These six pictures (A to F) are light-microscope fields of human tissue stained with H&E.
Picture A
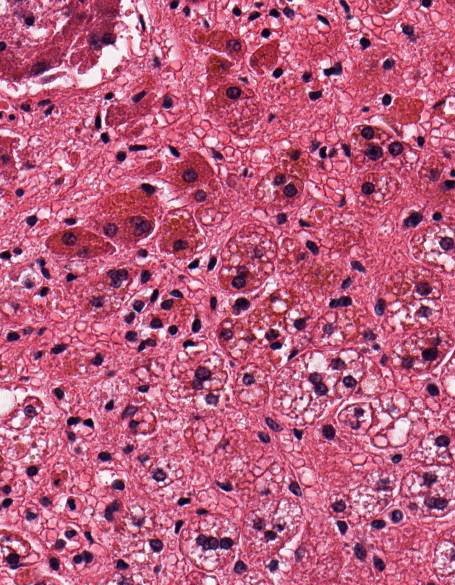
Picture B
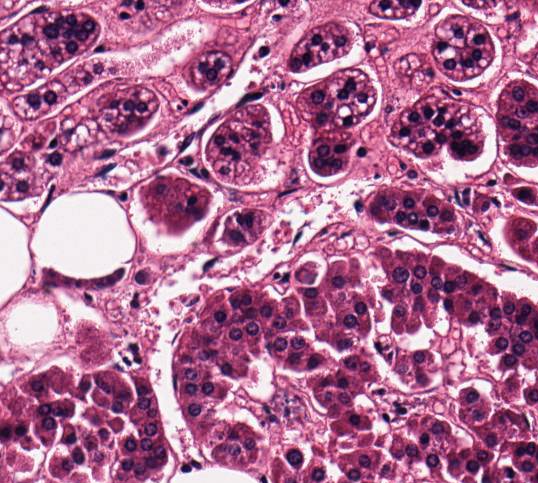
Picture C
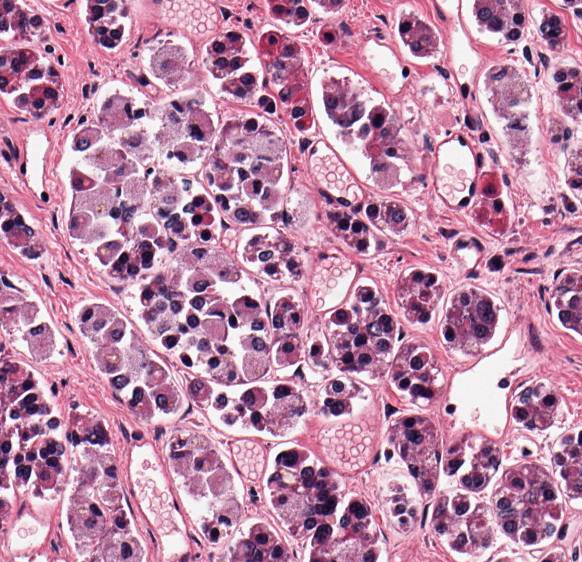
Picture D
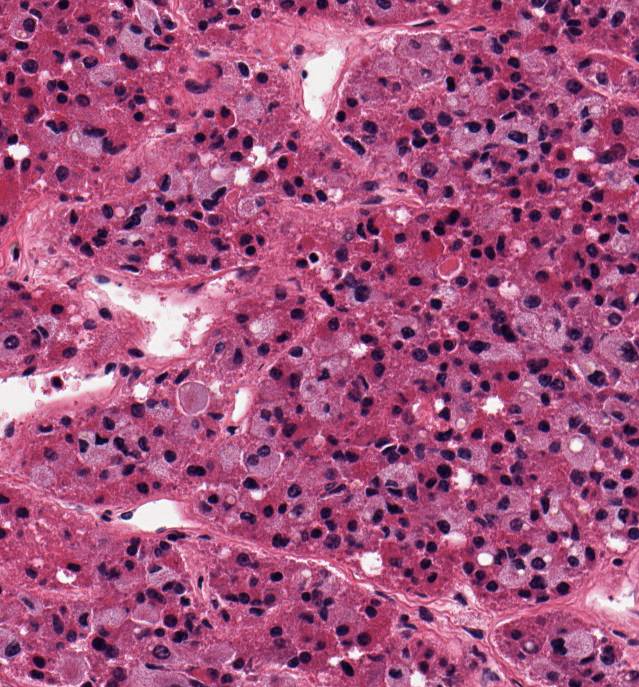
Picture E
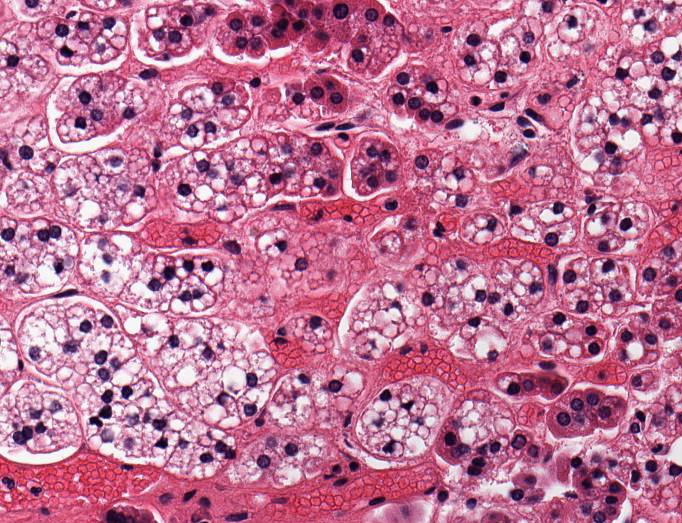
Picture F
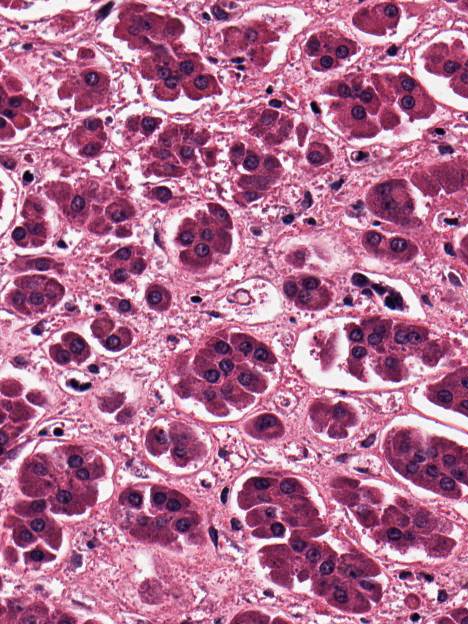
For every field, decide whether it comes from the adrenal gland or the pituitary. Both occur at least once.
A: adrenal gland
B: adrenal gland
C: pituitary
D: pituitary
E: adrenal gland
F: adrenal gland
